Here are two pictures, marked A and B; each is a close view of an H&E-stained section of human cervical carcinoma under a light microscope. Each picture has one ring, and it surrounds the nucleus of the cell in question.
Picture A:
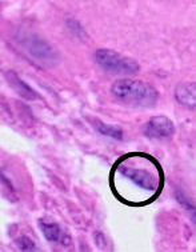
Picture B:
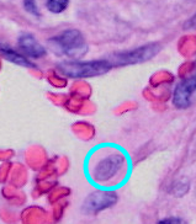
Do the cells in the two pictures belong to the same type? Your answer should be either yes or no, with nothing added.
no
